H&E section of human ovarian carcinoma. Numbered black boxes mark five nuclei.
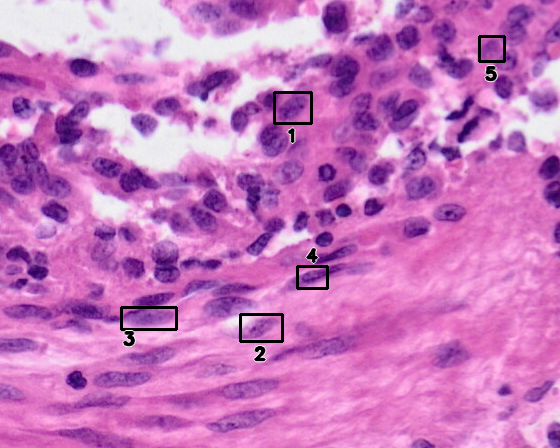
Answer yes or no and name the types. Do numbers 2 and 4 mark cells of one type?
Yes, cells 2 and 4 are both classed as fibroblasts.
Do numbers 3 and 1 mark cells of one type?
No, cell number 3 is an endothelial cell, and cell number 1 is a carcinoma cell.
